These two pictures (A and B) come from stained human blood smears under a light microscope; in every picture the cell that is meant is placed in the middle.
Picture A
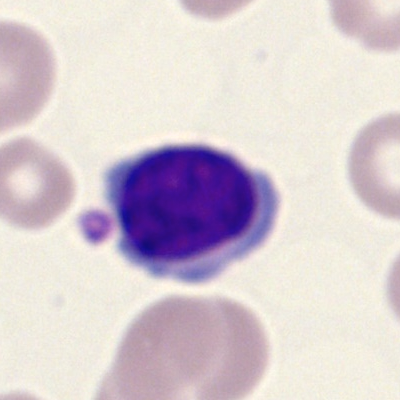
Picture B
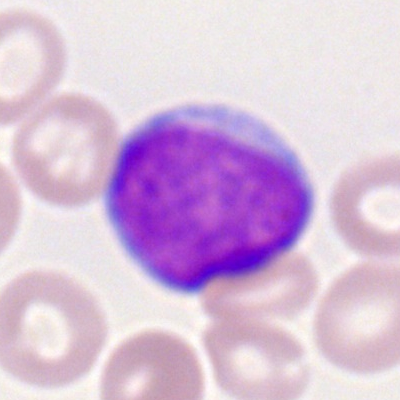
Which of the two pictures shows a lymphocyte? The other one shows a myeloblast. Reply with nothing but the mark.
A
